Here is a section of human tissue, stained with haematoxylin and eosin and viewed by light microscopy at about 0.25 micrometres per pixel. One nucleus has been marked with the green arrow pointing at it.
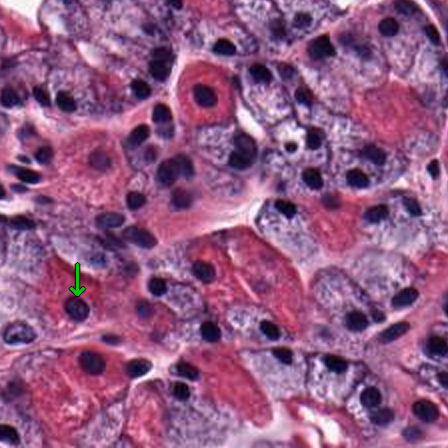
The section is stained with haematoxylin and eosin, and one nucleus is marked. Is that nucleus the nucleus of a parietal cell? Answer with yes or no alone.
yes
